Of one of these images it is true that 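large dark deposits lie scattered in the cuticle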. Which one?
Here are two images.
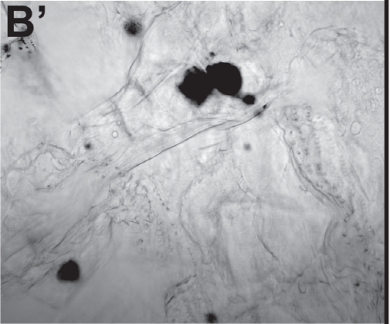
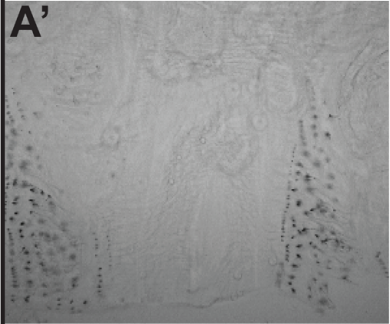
The first image.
